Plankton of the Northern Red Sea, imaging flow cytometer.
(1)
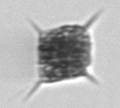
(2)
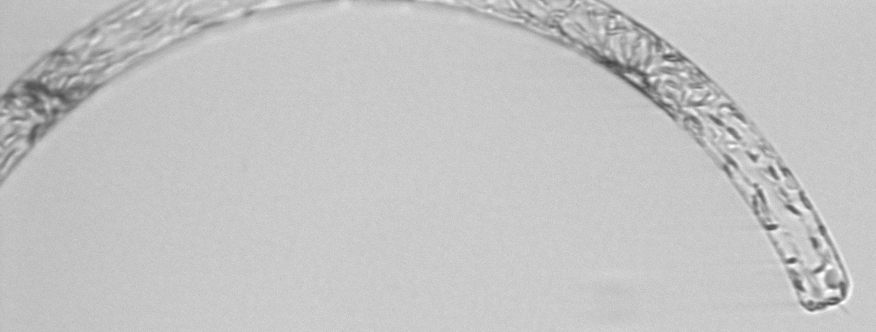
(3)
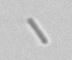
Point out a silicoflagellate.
That is picture 1.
